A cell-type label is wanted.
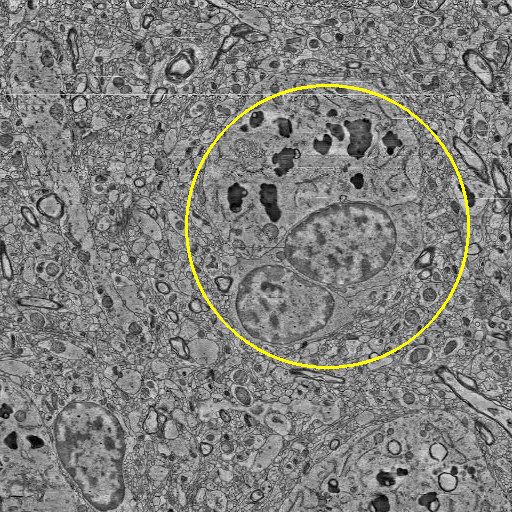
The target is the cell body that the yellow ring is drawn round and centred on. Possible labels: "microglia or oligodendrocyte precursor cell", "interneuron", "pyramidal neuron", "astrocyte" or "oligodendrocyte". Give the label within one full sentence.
Of the labels offered, the cell in the middle of the yellow ring is an oligodendrocyte.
